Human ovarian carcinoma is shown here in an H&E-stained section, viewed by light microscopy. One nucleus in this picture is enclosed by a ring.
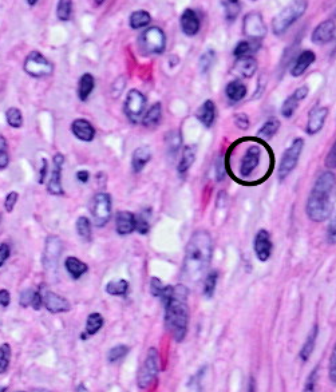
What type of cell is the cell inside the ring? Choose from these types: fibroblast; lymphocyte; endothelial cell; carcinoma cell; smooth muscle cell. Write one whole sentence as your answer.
Histopathologically, the cell inside the ring is a lymphocyte.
